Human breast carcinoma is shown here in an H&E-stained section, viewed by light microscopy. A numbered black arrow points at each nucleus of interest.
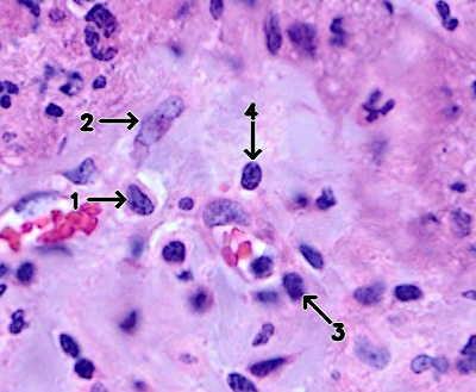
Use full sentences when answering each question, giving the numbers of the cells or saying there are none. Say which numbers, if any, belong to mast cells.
Among the cells marked with numbers, the only one that is a mast cell is number 1.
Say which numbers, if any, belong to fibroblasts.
Of all the numbered cells, only one is a fibroblast, and that is cell 2.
